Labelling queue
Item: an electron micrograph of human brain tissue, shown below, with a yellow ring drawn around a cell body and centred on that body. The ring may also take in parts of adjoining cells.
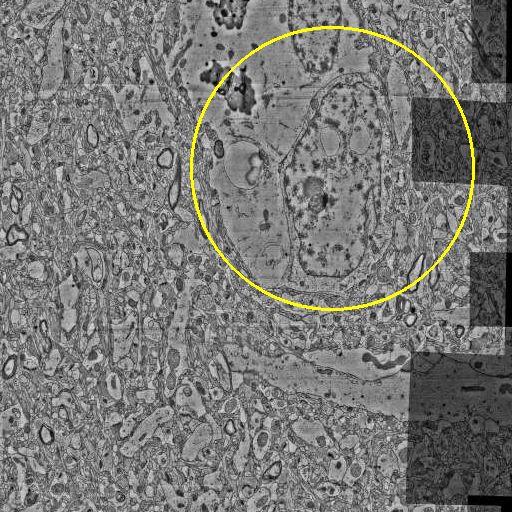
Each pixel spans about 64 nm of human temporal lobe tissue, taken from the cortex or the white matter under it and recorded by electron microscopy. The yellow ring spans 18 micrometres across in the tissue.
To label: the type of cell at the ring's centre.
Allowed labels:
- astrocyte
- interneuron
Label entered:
interneuron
